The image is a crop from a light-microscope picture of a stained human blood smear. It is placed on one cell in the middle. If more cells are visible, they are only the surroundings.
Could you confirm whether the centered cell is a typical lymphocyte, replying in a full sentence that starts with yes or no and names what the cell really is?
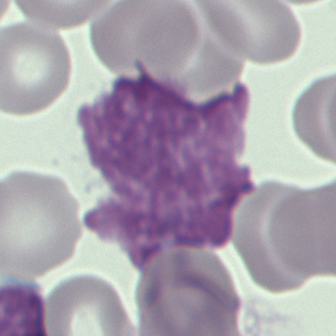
No, it is not a typical lymphocyte that sits at the centre but a smudge cell.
